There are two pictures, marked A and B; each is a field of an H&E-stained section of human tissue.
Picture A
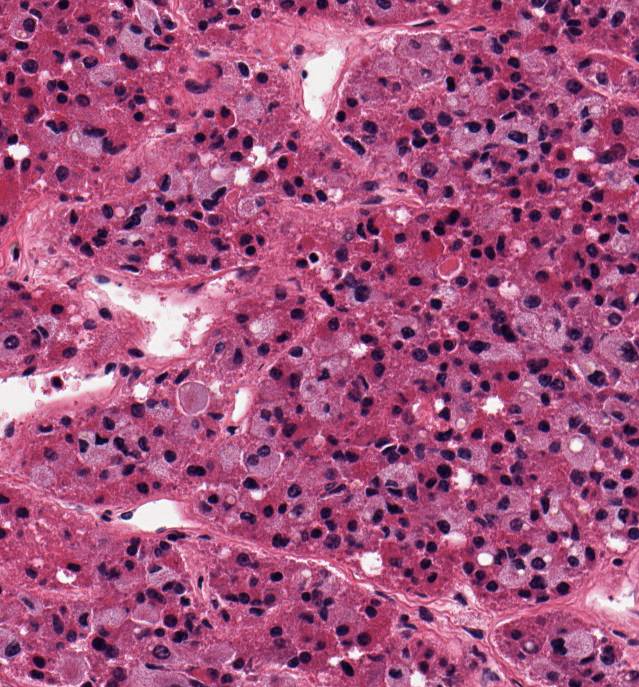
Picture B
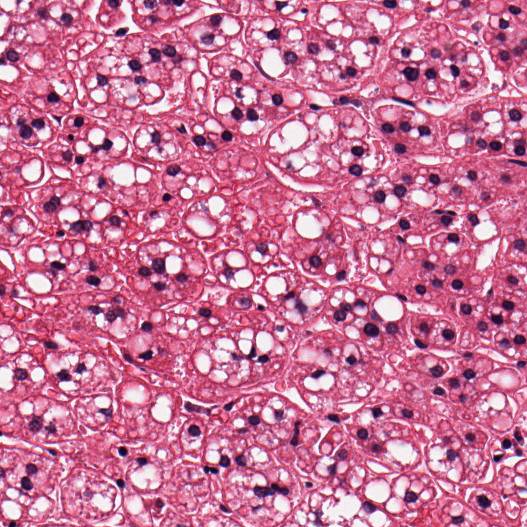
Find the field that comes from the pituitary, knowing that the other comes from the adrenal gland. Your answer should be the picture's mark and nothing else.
A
